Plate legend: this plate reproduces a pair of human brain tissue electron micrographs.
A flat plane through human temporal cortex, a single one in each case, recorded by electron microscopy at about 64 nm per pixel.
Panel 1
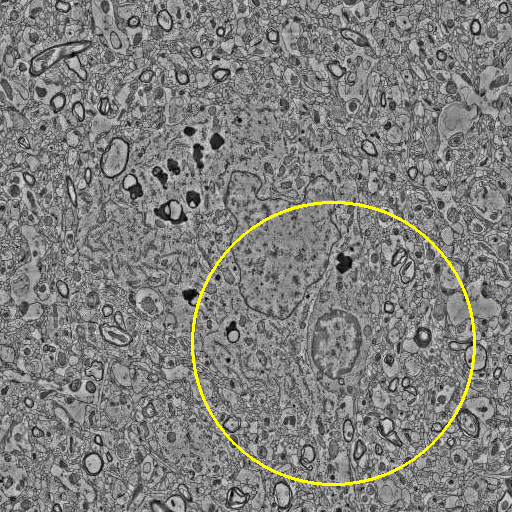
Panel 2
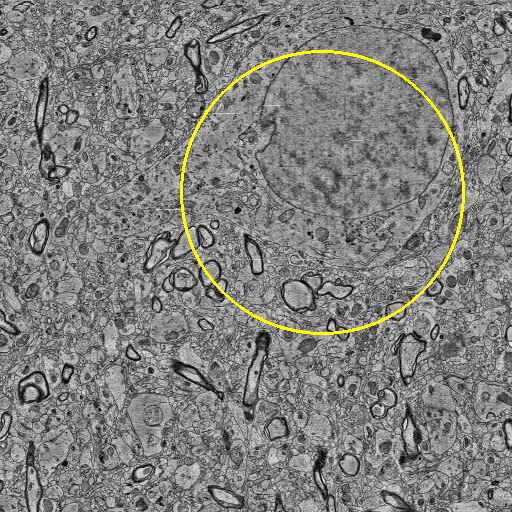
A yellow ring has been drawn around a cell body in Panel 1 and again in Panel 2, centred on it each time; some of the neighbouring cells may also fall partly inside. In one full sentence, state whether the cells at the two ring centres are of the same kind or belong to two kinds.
The ring-centred cells of Panel 1 and Panel 2 belong to two kinds.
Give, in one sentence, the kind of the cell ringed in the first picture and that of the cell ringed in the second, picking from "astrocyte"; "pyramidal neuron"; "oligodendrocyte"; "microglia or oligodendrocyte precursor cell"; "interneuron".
For the first picture it is an oligodendrocyte; for the second, a pyramidal neuron.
